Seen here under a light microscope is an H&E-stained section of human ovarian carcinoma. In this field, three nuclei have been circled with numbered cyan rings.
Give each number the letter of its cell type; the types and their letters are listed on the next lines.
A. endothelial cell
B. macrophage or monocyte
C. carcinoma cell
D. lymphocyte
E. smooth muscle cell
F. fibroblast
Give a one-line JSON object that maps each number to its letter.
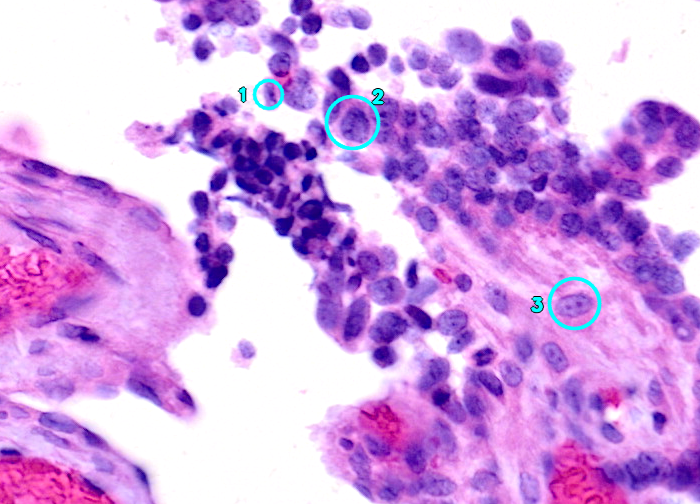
{"1": "B", "2": "C", "3": "F"}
